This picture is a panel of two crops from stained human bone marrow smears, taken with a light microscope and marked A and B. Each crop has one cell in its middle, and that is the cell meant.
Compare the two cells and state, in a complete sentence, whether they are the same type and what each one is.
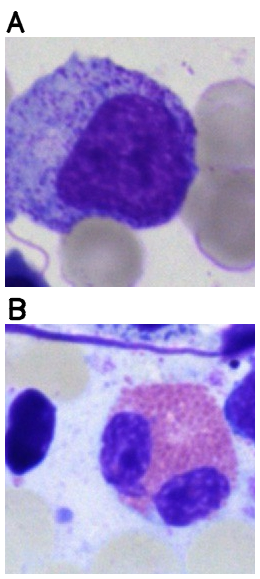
No, crop A depicts a promyelocyte; crop B depicts an eosinophil.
